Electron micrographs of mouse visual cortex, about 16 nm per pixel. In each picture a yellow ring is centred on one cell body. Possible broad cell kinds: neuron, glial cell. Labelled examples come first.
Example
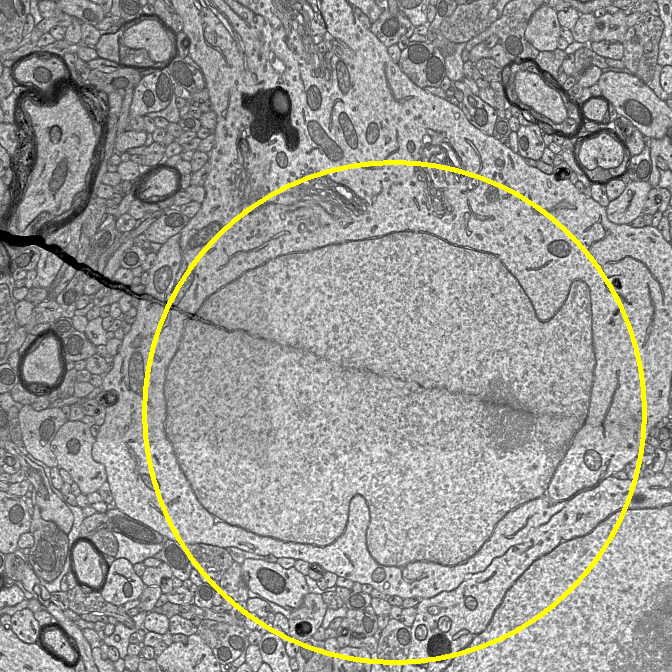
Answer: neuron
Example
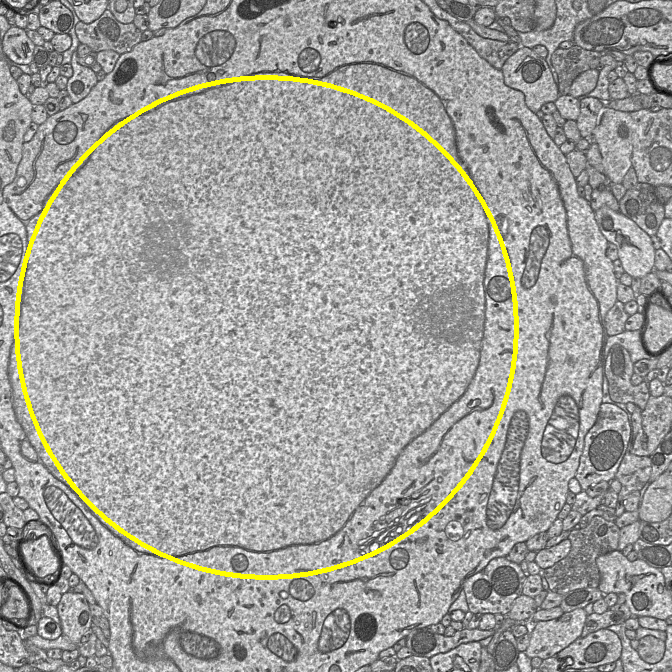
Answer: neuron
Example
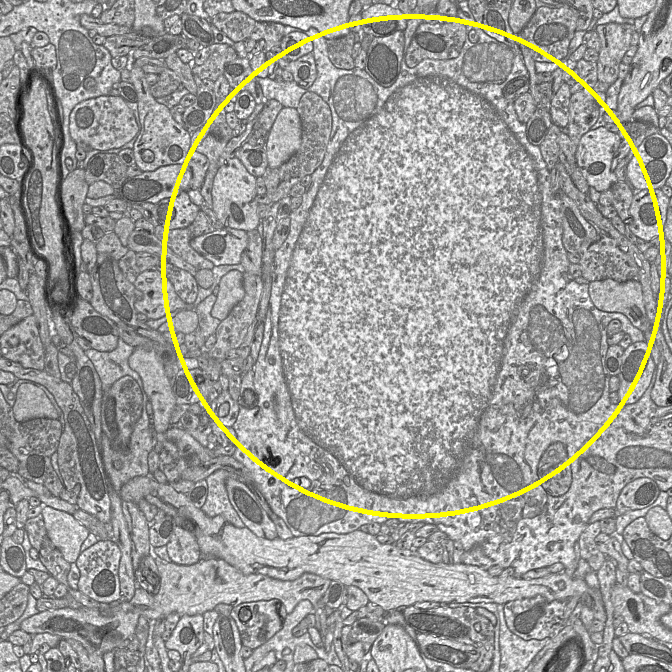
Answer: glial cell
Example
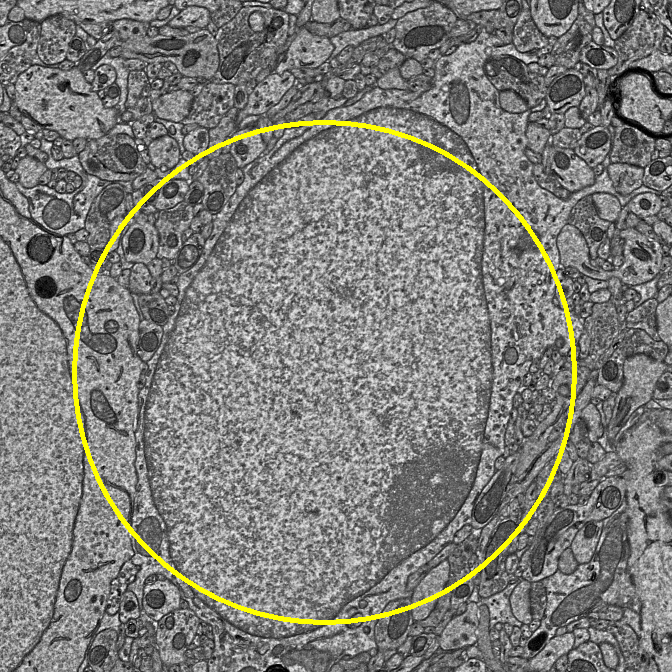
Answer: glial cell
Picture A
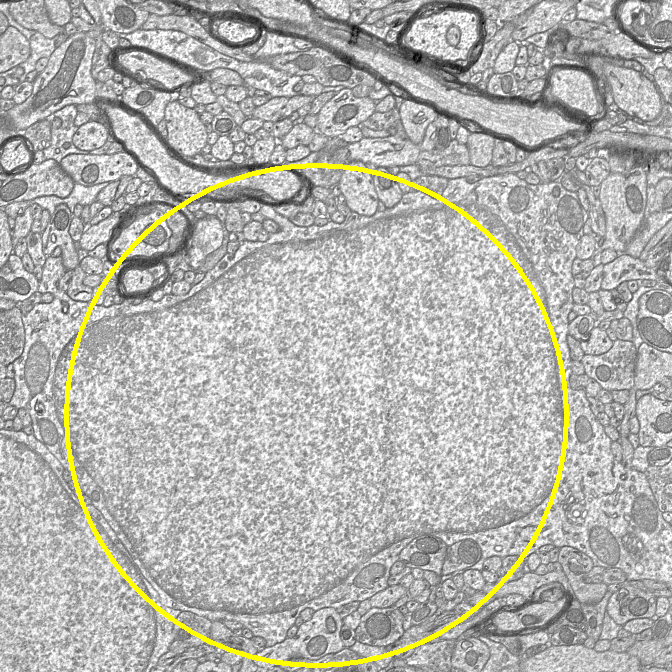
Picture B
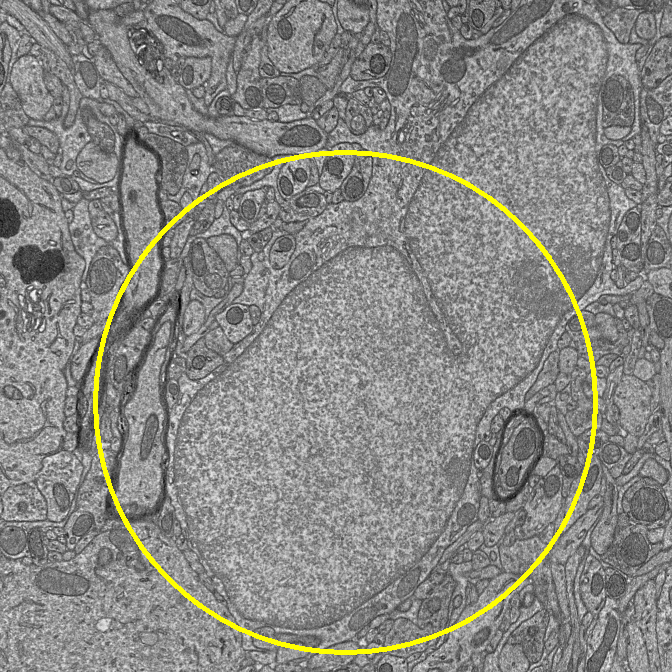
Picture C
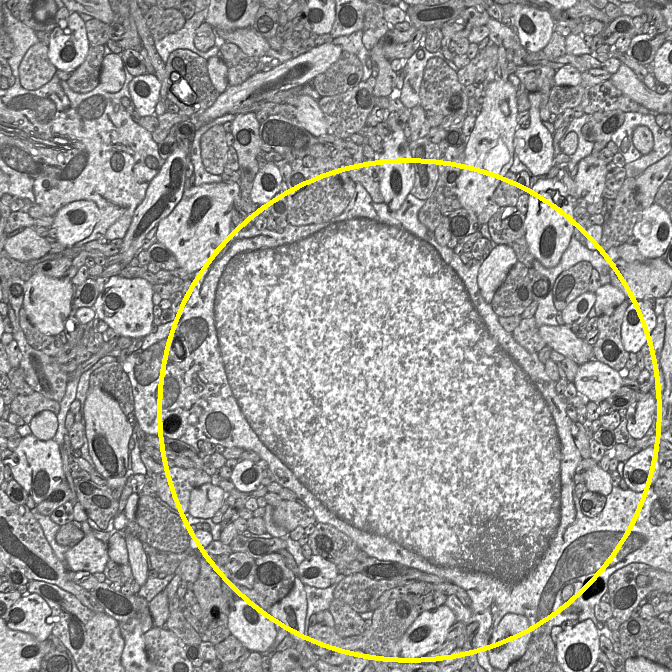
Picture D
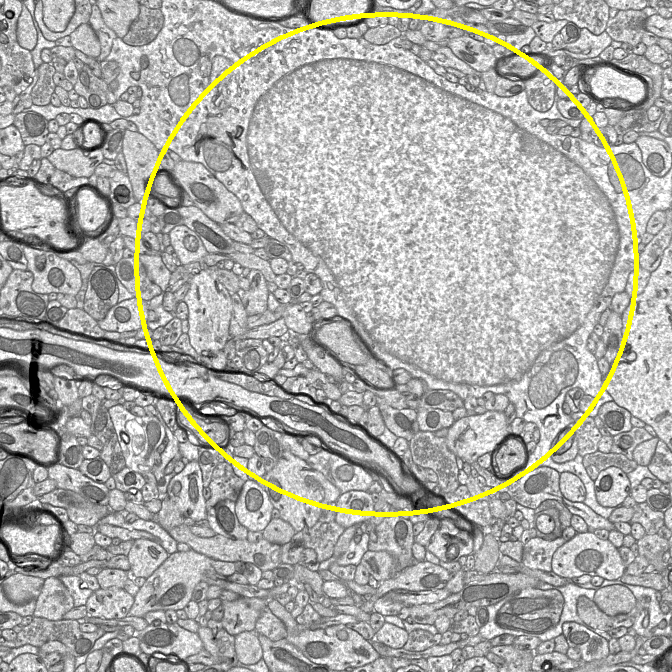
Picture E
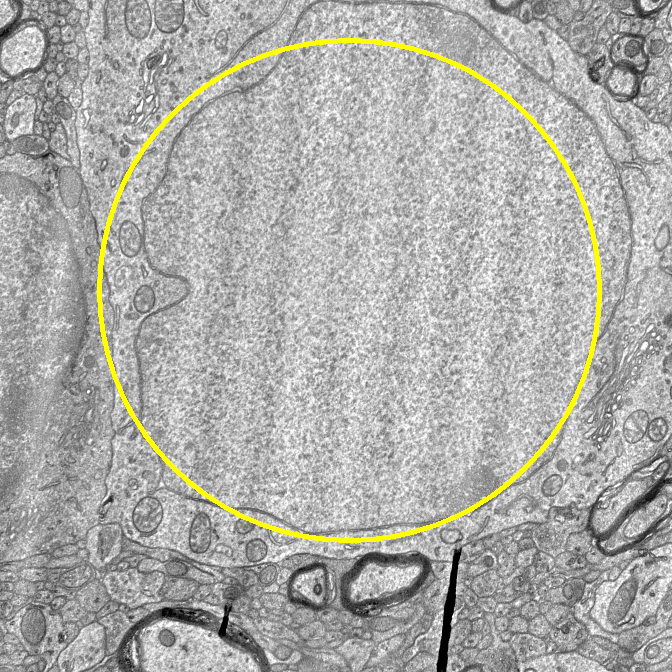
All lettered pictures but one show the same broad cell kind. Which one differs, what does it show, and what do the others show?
Exception: E, showing neuron. Remaining pictures: glial cell.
